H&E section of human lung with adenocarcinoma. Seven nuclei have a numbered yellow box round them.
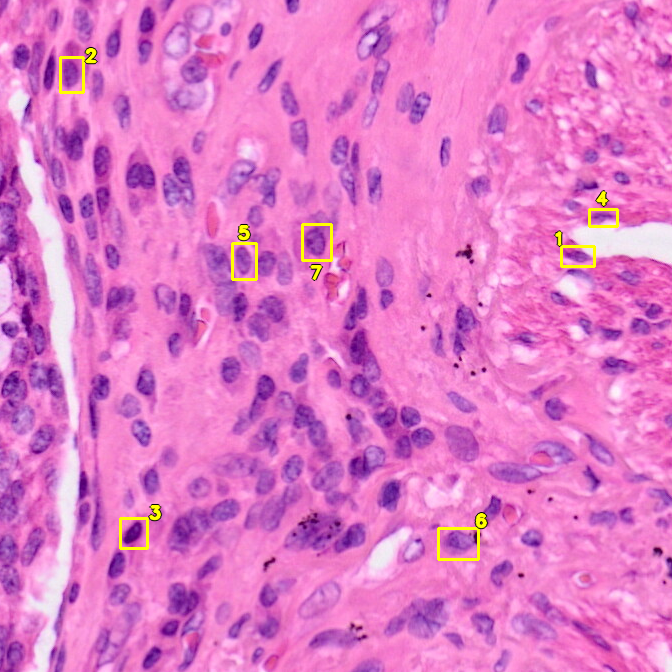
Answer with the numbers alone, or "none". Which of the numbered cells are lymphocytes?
5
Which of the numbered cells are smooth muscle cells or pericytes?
1, 4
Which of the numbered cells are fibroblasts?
6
